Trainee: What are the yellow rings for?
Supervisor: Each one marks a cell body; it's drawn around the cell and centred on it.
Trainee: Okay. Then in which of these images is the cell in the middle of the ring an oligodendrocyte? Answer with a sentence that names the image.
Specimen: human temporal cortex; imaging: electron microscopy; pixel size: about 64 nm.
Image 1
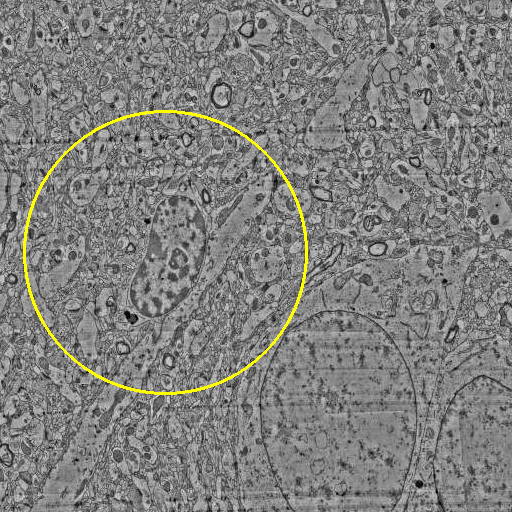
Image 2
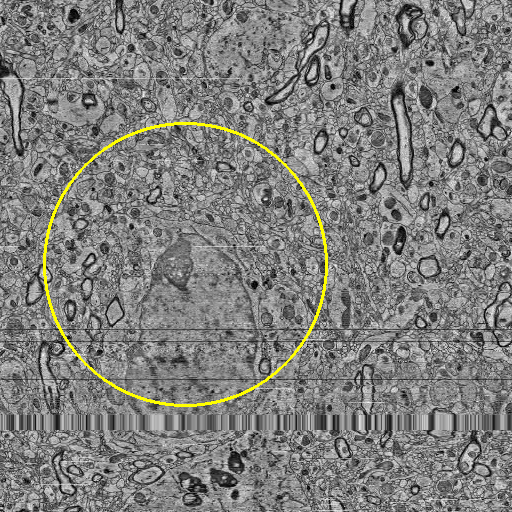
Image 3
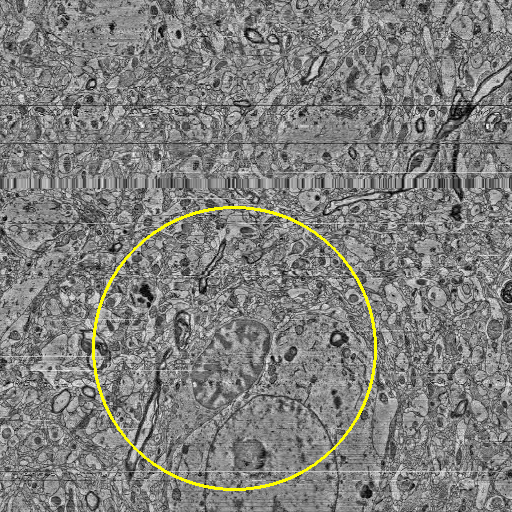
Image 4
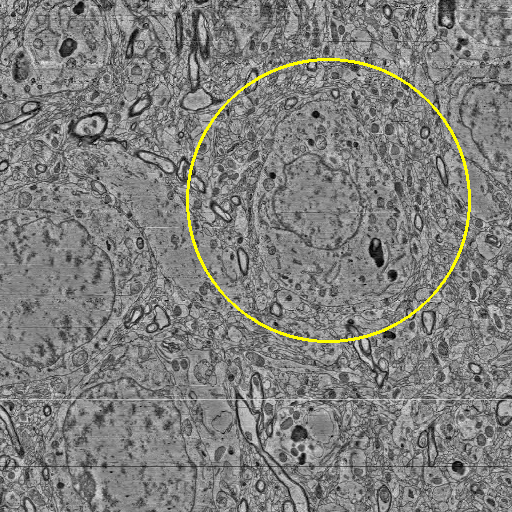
Image 3 has it in the middle of the ring.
